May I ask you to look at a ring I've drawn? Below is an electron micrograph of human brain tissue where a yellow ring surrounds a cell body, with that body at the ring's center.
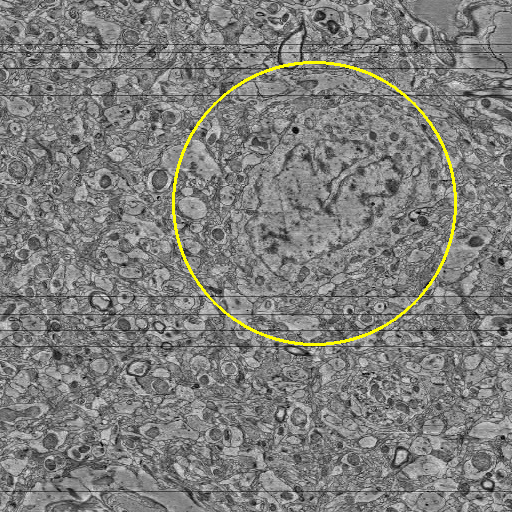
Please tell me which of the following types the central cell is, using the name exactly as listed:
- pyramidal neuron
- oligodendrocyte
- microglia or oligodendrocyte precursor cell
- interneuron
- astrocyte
interneuron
